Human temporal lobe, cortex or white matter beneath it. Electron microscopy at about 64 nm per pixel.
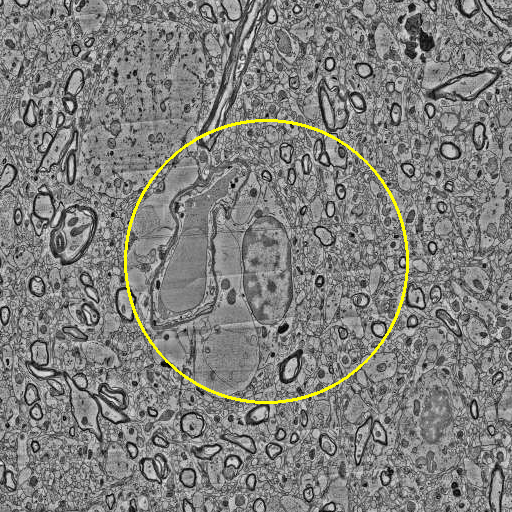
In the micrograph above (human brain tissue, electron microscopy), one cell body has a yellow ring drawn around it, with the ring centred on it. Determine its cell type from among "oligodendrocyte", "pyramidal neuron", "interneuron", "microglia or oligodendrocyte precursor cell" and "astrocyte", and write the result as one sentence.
The cell whose body is ringed is a microglial cell or oligodendrocyte precursor cell.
